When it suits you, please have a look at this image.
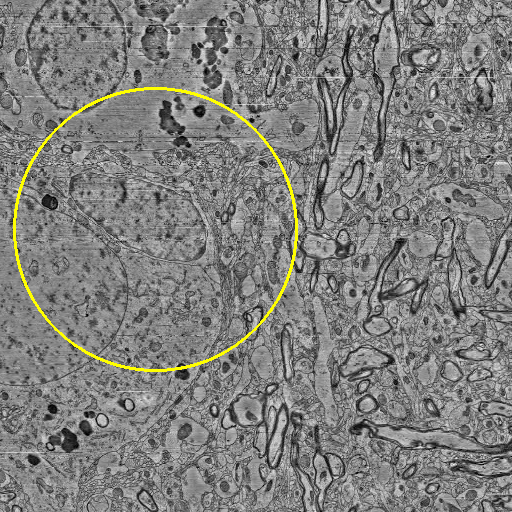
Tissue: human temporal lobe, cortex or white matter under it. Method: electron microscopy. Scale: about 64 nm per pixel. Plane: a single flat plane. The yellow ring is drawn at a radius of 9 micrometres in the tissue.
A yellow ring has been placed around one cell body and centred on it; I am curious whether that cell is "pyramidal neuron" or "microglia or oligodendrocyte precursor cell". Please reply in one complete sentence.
The ringed cell, a microglial cell or oligodendrocyte precursor cell, has its body at the centre of the yellow ring.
